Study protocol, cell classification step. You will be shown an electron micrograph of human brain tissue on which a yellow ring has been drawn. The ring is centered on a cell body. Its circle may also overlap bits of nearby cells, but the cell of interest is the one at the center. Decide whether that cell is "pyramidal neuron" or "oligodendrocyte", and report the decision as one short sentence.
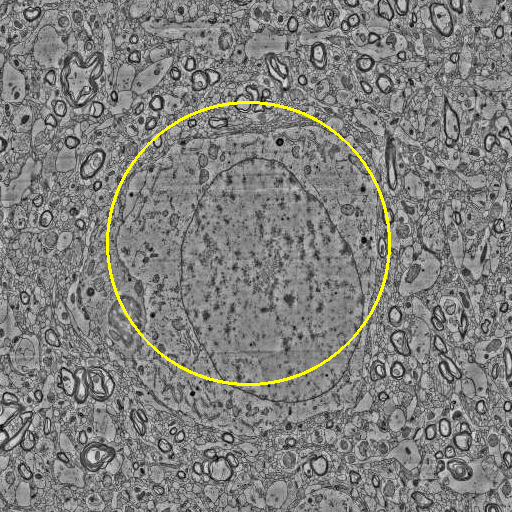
The marked cell is a pyramidal neuron.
